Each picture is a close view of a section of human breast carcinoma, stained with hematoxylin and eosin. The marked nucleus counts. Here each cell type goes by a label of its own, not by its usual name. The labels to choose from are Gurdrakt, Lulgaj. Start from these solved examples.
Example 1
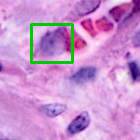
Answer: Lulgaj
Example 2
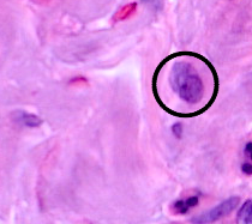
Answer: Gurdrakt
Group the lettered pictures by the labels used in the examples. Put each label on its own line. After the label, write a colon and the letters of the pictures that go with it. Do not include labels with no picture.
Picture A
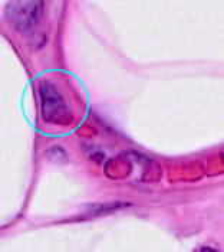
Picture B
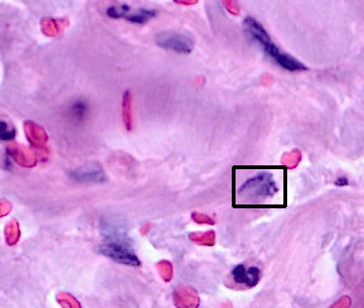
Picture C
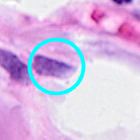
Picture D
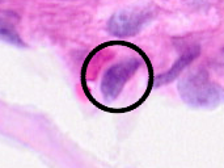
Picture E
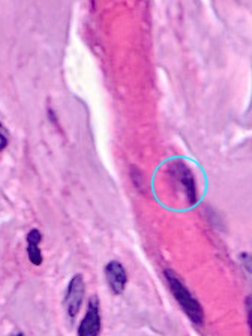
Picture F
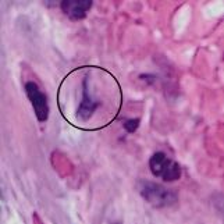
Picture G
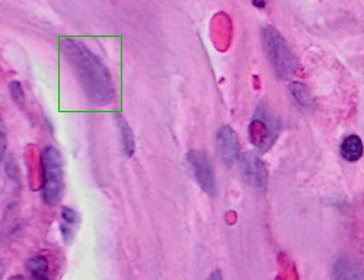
Gurdrakt: B, C, F, G
Lulgaj: A, D, E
